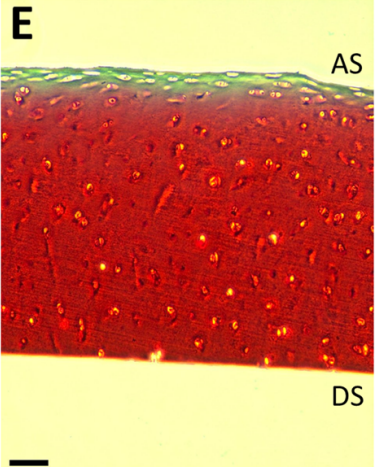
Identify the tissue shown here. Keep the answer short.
Articular cartilage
